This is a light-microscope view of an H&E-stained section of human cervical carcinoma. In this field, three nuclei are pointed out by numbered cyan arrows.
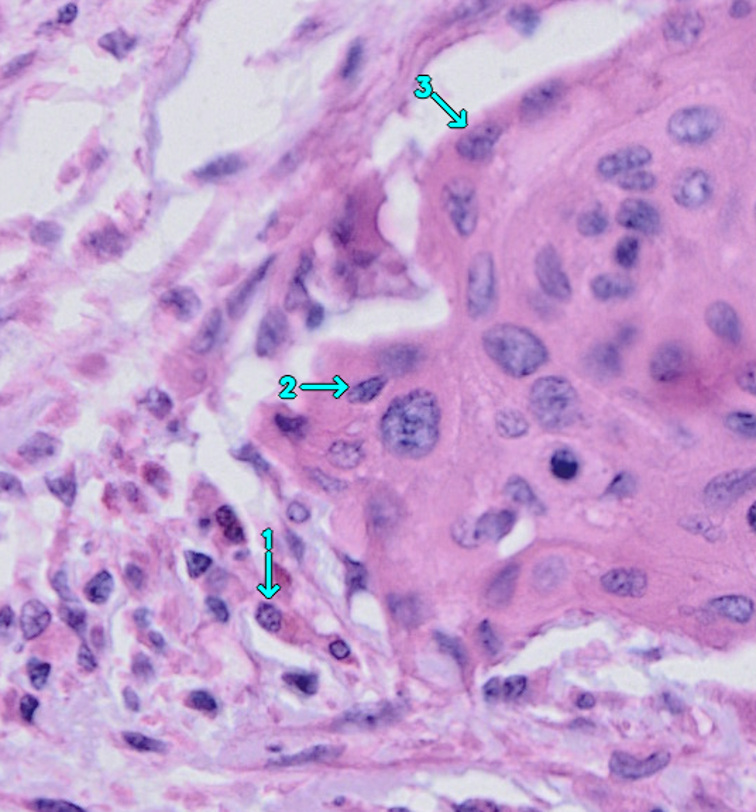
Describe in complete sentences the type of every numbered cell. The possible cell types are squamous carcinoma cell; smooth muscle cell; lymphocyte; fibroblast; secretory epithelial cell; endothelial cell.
Cell 1 is a lymphocyte, cell 2 is a squamous carcinoma cell and cell 3 is a squamous carcinoma cell.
